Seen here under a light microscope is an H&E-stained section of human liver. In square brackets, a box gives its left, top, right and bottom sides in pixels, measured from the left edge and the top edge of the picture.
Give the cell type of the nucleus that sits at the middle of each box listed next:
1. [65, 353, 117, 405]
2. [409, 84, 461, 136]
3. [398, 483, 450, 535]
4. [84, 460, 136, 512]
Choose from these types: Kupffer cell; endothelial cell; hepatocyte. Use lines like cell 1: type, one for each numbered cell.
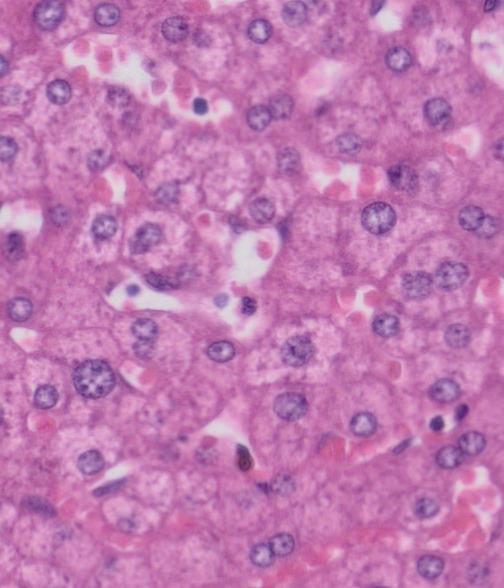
cell 1: hepatocyte
cell 2: hepatocyte
cell 3: hepatocyte
cell 4: Kupffer cell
